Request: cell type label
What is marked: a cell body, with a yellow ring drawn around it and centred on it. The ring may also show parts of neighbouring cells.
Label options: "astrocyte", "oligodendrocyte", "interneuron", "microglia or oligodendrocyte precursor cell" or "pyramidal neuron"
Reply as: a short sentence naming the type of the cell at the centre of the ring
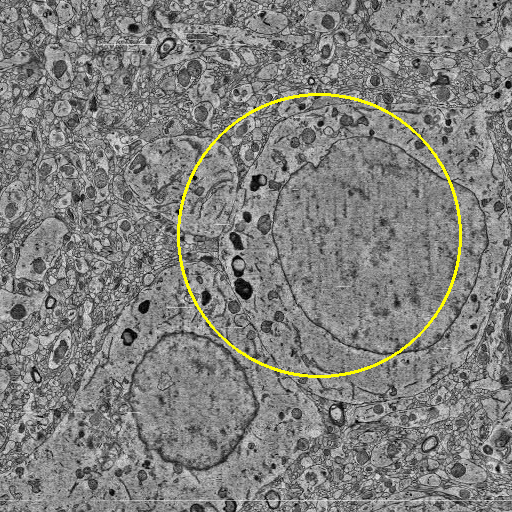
The marked cell body is that of a pyramidal neuron.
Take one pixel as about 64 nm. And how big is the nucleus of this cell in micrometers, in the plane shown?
About 14 micrometers across, in this plane.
